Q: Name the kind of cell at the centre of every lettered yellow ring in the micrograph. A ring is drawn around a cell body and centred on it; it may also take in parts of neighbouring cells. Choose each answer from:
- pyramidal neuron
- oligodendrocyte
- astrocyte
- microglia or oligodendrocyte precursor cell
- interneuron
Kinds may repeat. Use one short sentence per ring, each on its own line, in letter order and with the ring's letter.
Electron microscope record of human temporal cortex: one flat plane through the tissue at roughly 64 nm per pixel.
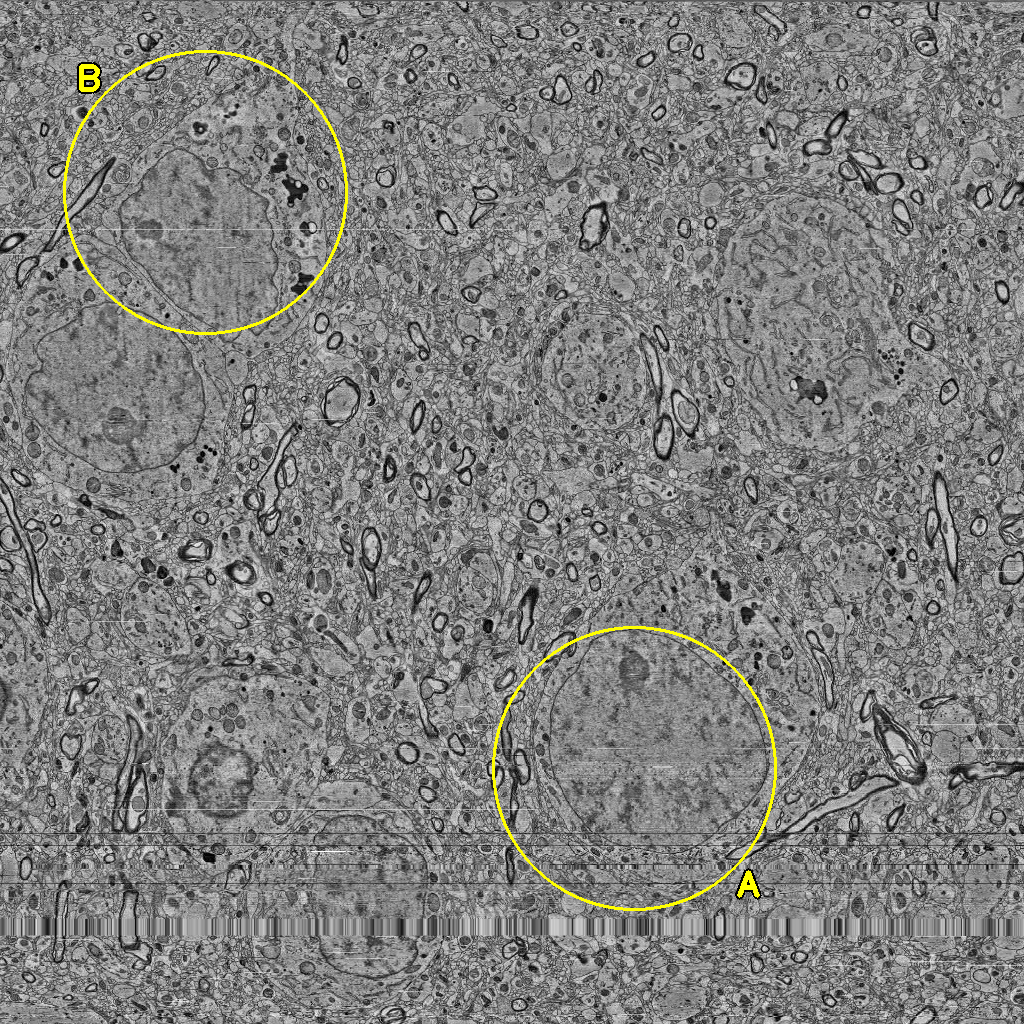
Ring A is placed around a pyramidal neuron.
Ring B is placed around an interneuron.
